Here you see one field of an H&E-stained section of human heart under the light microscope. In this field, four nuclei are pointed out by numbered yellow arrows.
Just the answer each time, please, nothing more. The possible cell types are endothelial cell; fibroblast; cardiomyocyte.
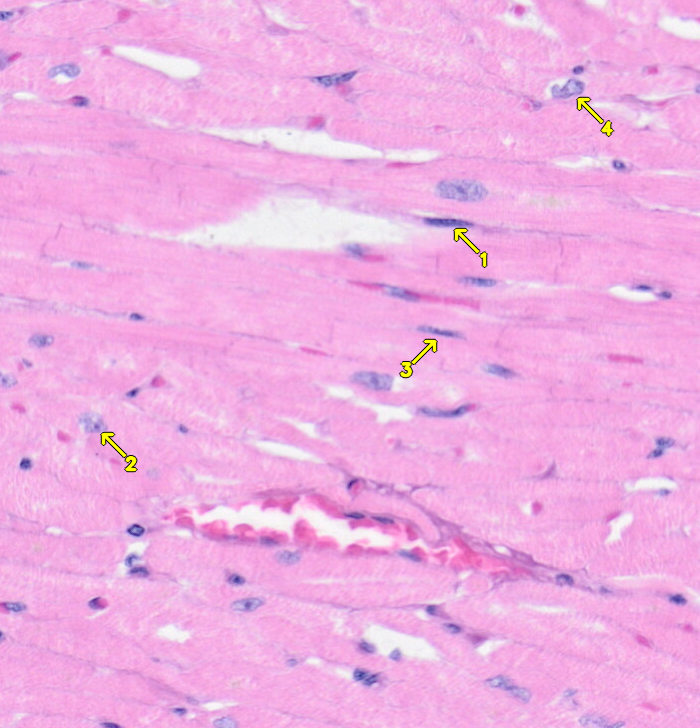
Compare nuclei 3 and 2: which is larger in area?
2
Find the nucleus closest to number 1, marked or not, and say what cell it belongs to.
cardiomyocyte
